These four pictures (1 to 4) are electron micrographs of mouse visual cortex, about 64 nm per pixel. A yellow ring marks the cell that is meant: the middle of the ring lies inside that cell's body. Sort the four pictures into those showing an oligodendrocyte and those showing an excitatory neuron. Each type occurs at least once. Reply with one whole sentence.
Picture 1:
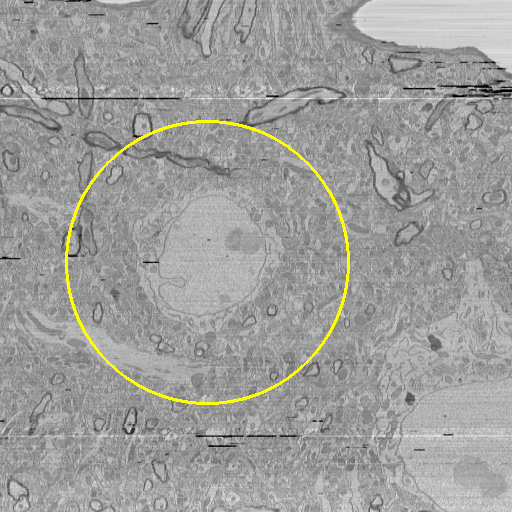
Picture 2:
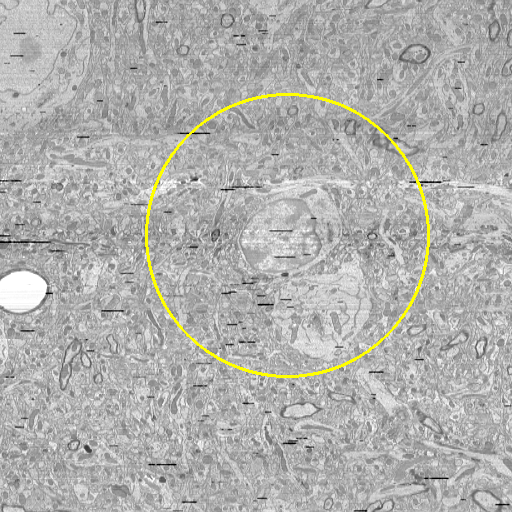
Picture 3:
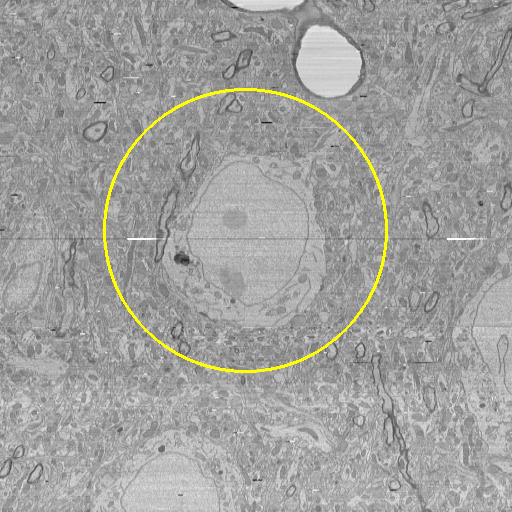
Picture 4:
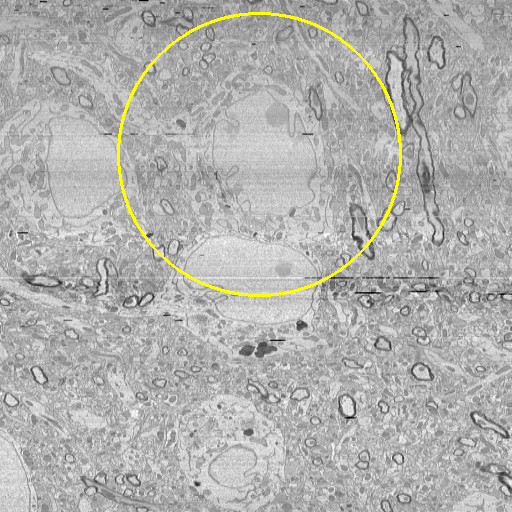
Picture 2 shows an oligodendrocyte, and pictures 1, 3 and 4 show excitatory neurons.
